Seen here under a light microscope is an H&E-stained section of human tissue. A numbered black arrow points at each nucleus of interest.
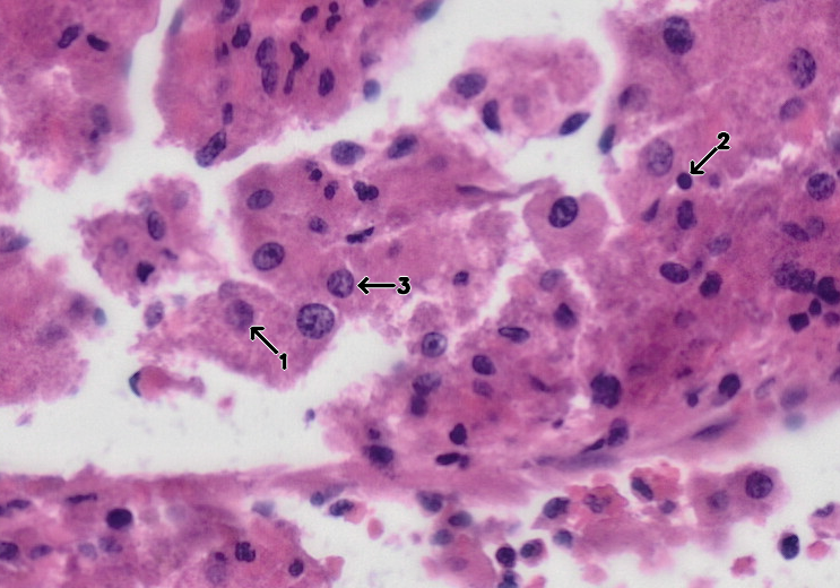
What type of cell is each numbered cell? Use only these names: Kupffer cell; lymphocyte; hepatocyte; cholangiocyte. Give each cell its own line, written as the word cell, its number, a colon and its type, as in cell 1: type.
cell 1: hepatocyte
cell 2: lymphocyte
cell 3: hepatocyte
